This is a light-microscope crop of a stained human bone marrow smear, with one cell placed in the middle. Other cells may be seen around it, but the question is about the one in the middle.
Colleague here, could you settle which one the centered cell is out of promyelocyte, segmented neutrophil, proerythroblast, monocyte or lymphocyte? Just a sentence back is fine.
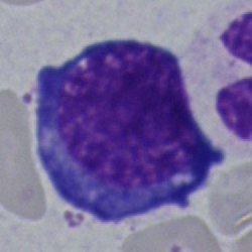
The cell marked by its central position in the crop is a proerythroblast.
